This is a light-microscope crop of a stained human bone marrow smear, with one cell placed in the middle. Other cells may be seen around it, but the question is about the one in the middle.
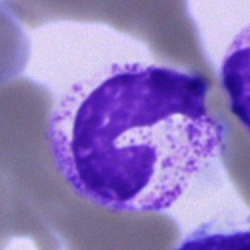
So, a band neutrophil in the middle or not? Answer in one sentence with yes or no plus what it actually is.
Yes, the cell positioned in the middle is a band neutrophil.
